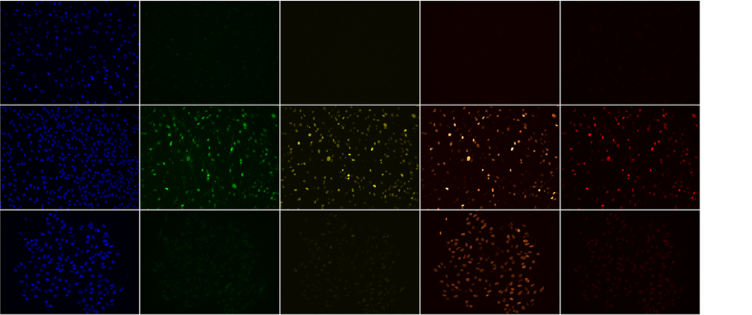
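The blue column shows many small, evenly scattered nuclei in the two upper rows, while the bottom row has nuclei packed more tightly together in a colony. In the top row the coloured channels are nearly dark. In the middle row many individual nuclei light up brightly in green, yellow, orange and red, scattered among the cells. The bottom row shows a fainter but even orange nuclear signal across the packed colony, and weak signal in the other colours.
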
